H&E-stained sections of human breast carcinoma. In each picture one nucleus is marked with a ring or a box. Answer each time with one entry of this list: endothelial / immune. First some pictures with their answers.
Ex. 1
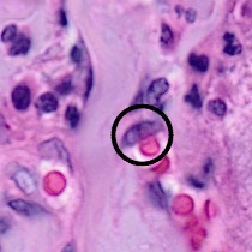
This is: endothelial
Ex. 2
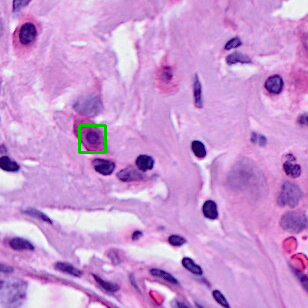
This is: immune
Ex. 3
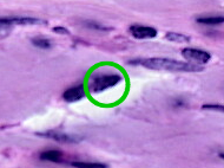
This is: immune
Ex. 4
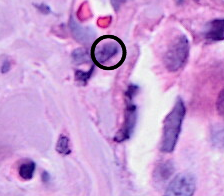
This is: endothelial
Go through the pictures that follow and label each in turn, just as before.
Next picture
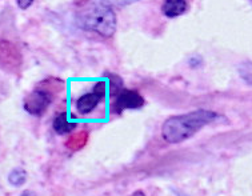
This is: immune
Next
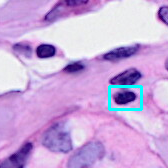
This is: immune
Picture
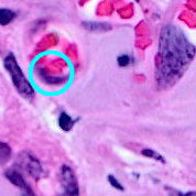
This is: endothelial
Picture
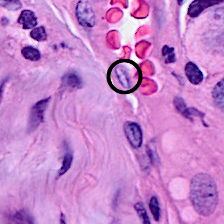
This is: endothelial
